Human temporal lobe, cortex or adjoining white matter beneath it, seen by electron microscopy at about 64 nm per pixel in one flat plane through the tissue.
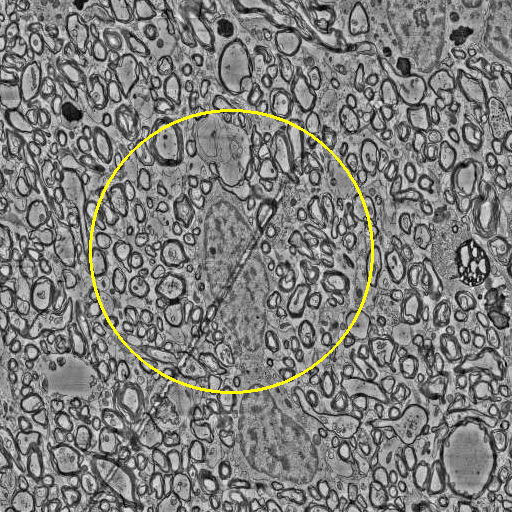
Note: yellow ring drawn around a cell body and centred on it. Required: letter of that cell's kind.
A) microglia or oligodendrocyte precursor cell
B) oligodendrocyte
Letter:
B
